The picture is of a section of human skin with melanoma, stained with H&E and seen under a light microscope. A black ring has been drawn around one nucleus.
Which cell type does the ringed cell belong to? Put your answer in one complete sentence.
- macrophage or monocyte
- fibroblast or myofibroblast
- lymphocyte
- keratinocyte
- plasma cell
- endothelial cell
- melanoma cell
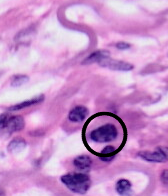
In this preparation, the ringed cell is a plasma cell.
